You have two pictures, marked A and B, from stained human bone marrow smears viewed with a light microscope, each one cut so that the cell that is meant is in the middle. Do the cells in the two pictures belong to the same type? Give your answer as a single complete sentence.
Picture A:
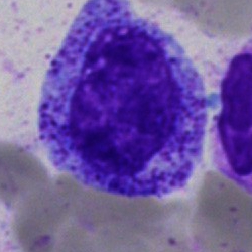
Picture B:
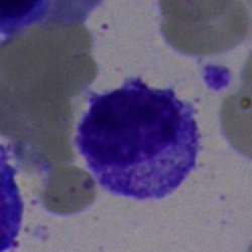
Yes; the cells in both pictures are myelocytes.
